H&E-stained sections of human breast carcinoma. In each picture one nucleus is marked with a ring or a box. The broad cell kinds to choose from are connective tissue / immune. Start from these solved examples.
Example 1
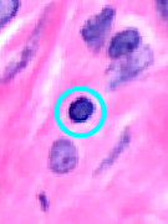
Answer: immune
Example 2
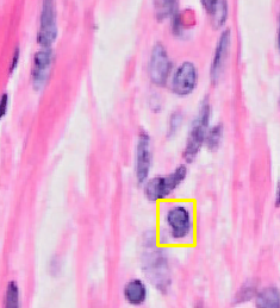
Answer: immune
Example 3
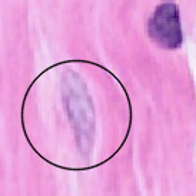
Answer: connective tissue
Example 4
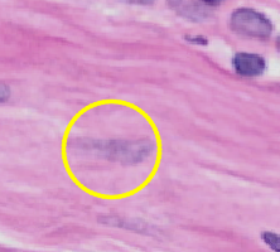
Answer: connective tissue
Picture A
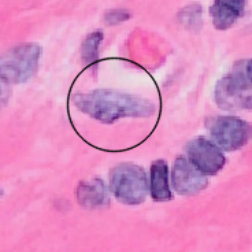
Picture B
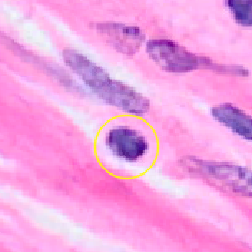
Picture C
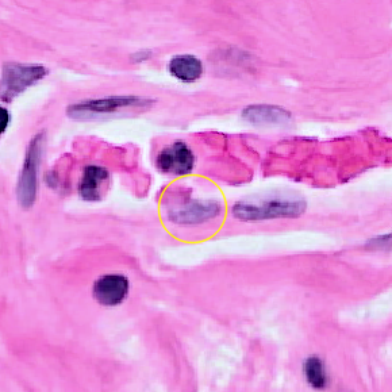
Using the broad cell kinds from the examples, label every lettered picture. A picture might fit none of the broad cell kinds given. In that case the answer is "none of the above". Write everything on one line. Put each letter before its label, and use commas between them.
A none of the above, B immune, C none of the above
